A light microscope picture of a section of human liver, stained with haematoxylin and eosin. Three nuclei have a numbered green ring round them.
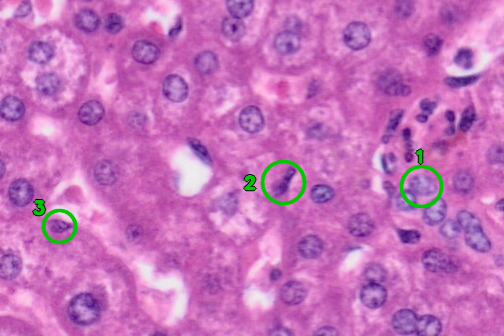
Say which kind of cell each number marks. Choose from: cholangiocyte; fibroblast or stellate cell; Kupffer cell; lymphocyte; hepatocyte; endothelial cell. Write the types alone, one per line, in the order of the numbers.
cholangiocyte
fibroblast or stellate cell
fibroblast or stellate cell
